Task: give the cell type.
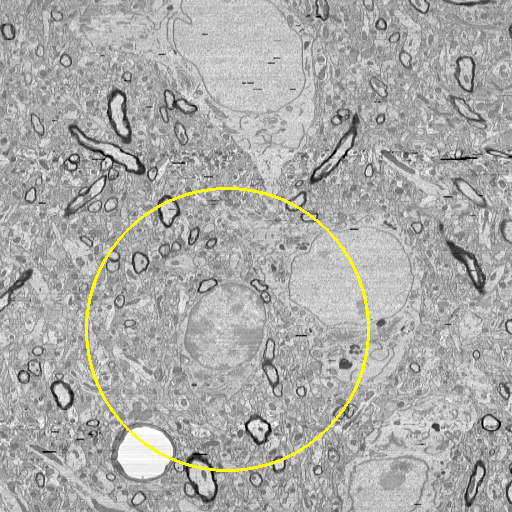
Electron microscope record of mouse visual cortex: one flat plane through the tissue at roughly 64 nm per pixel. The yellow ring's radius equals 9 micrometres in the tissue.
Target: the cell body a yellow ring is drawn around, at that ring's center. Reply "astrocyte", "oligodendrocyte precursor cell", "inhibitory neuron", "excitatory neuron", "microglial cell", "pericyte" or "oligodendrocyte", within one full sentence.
In this picture, the cell whose body lies at the ring's center is an oligodendrocyte.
